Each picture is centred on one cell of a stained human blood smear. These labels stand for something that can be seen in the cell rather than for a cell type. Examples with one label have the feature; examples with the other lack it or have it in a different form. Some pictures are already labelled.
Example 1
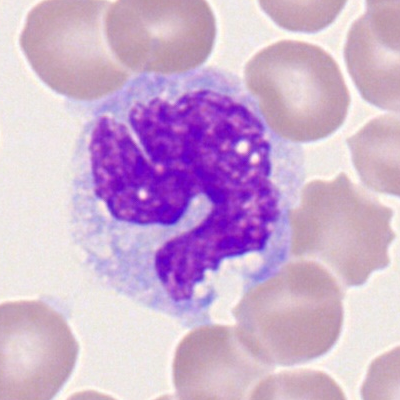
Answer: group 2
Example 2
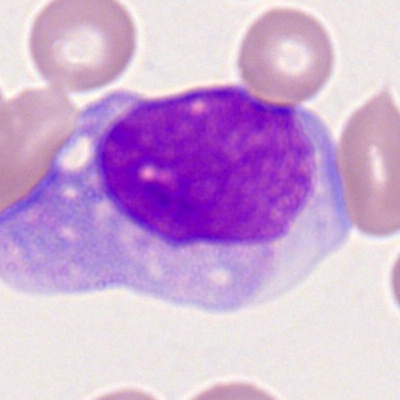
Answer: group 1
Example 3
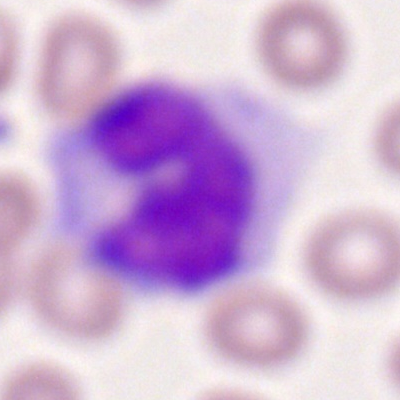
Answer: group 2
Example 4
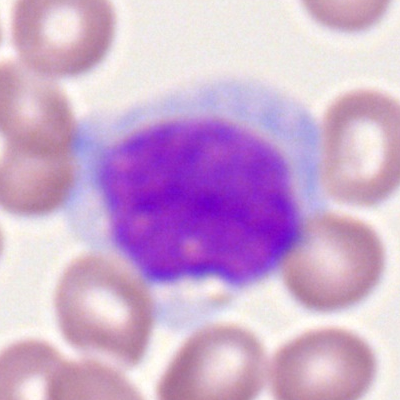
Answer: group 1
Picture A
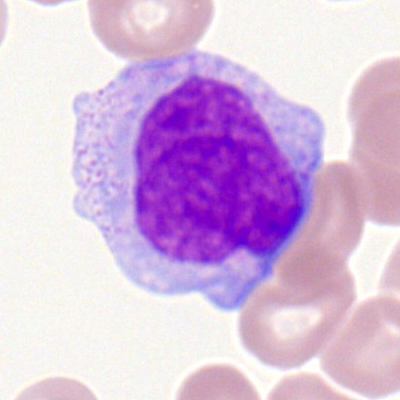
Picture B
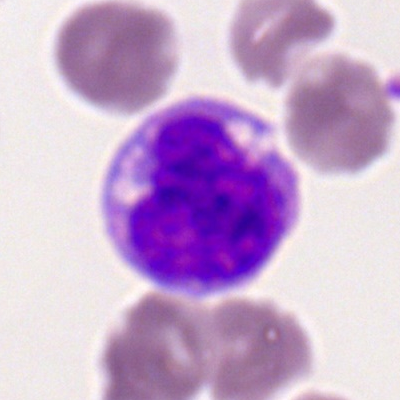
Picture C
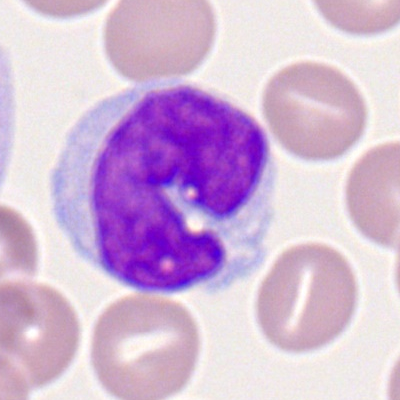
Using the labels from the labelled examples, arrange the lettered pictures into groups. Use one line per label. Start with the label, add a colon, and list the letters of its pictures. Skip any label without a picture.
group 2: C
group 1: A, B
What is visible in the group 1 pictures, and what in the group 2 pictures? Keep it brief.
group 1: round or oval nucleus; group 2: band-shaped nucleus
